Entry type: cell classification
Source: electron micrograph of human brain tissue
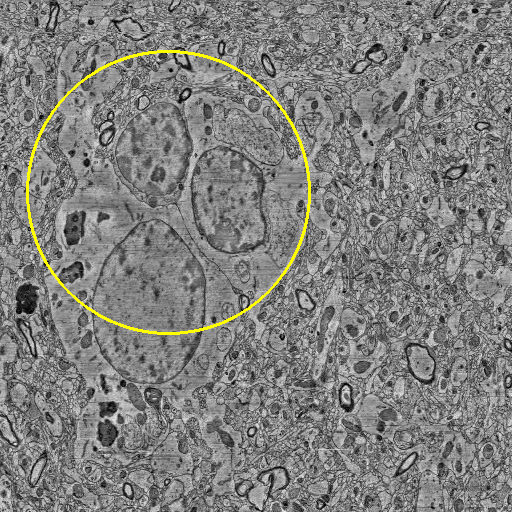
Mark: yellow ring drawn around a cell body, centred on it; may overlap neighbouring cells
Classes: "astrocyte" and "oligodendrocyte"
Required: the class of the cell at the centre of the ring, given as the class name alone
oligodendrocyte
